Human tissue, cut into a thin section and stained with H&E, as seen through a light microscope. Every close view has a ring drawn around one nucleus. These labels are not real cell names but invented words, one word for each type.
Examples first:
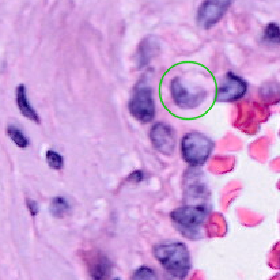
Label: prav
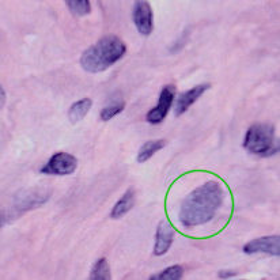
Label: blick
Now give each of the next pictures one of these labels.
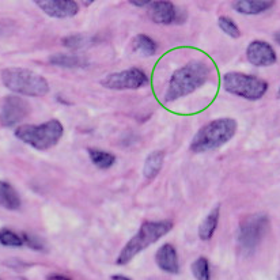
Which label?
blick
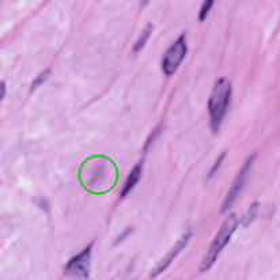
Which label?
blick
